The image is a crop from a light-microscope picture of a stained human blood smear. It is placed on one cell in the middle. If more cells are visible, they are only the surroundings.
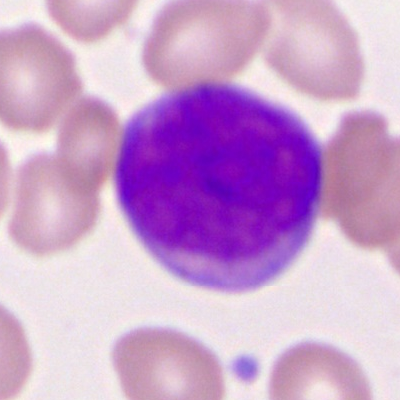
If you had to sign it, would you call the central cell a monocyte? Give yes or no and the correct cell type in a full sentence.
No, the central cell is properly termed a myeloblast, not a monocyte.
